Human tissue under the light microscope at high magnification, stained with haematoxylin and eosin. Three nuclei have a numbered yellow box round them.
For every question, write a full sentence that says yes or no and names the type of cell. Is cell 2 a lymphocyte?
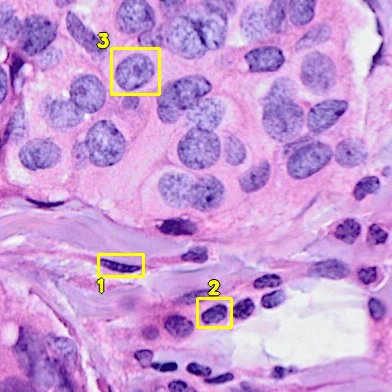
Yes, cell number 2 in this section is a lymphocyte.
